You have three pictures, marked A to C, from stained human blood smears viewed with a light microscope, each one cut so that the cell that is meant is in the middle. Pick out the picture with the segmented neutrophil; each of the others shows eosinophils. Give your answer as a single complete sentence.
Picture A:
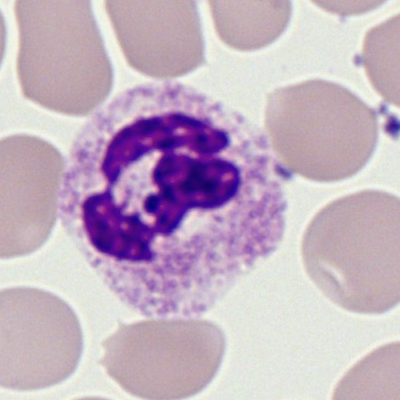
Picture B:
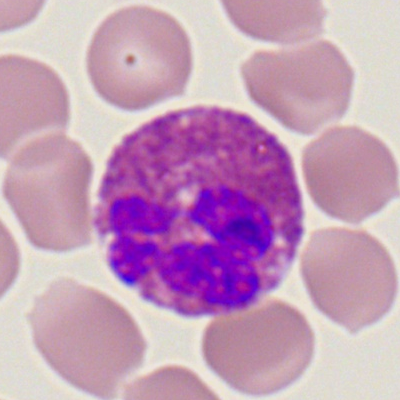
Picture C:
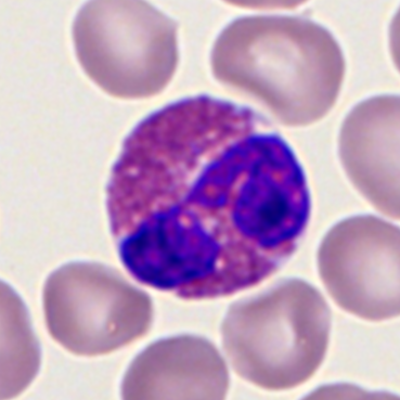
Picture A is the one that shows the segmented neutrophil.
